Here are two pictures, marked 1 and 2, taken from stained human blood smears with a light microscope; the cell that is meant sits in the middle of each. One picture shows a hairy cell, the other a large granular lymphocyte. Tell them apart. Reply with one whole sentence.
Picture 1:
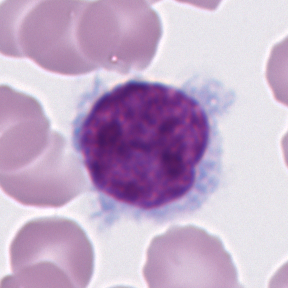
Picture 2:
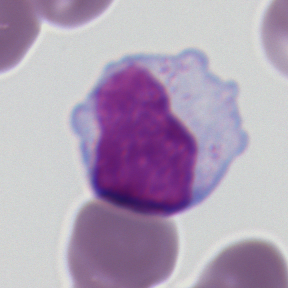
It is picture 1 that shows a hairy cell, and picture 2 that shows a large granular lymphocyte.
